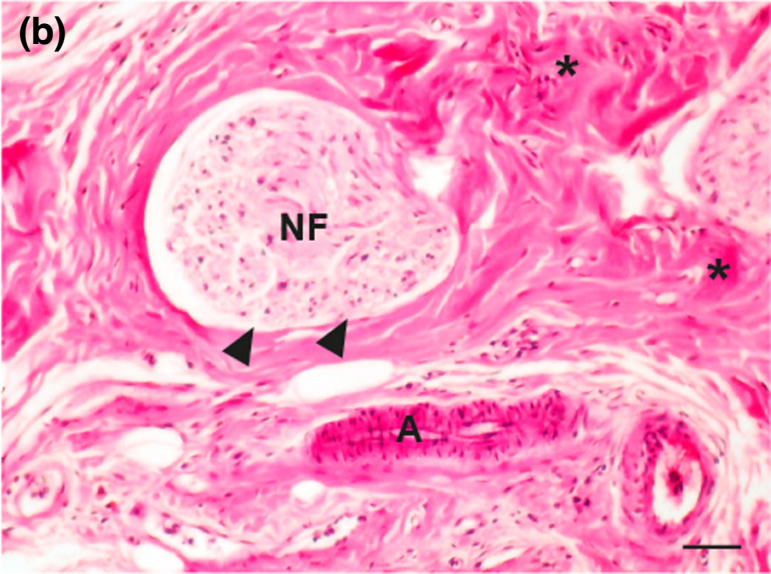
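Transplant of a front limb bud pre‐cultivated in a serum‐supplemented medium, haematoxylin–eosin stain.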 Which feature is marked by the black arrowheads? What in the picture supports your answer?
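The arrowheads point to a thin layer of flattened tissue wrapping the pale round bundle. The answer: perineurium.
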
